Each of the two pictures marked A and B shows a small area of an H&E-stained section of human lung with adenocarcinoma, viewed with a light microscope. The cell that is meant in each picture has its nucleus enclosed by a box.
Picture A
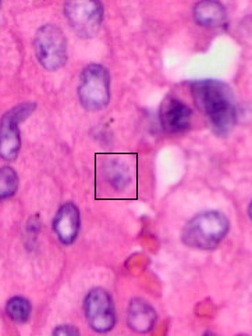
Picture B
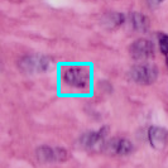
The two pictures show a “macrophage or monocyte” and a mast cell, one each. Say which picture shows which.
A: macrophage or monocyte
B: mast cell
